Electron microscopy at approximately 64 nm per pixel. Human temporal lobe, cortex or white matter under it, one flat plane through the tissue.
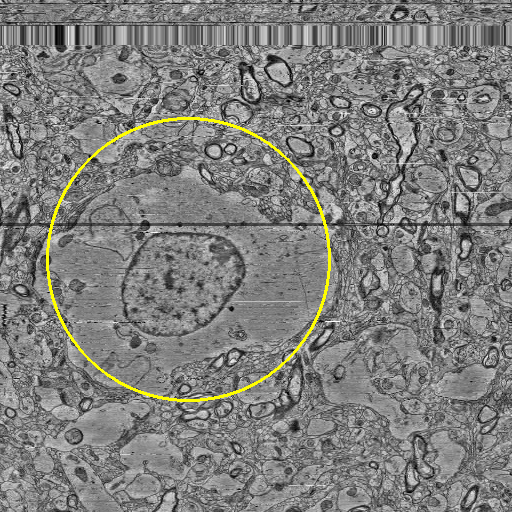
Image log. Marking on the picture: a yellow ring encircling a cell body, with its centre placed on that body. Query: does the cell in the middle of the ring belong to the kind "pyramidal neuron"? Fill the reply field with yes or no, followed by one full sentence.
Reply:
No, the cell at the centre of the yellow ring in this picture belongs to a different kind.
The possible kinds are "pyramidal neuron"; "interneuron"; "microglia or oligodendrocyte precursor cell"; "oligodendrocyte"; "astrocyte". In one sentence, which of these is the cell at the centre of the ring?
The cell at the middle of the ring is an astrocyte.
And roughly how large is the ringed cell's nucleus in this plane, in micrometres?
Roughly 8 micrometres by 7 micrometres, in this plane.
